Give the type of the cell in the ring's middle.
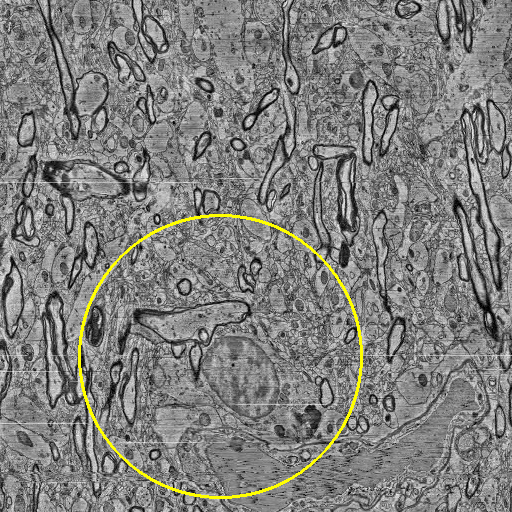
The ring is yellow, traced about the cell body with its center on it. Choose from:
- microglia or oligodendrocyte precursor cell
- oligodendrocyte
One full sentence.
Here, an oligodendrocyte is the cell lying at the center of the yellow ring.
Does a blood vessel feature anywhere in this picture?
Yes, a vessel appears in the picture.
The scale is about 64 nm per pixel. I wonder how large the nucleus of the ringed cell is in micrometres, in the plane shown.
The nucleus works out at approximately 7 by 4 micrometres in this plane.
